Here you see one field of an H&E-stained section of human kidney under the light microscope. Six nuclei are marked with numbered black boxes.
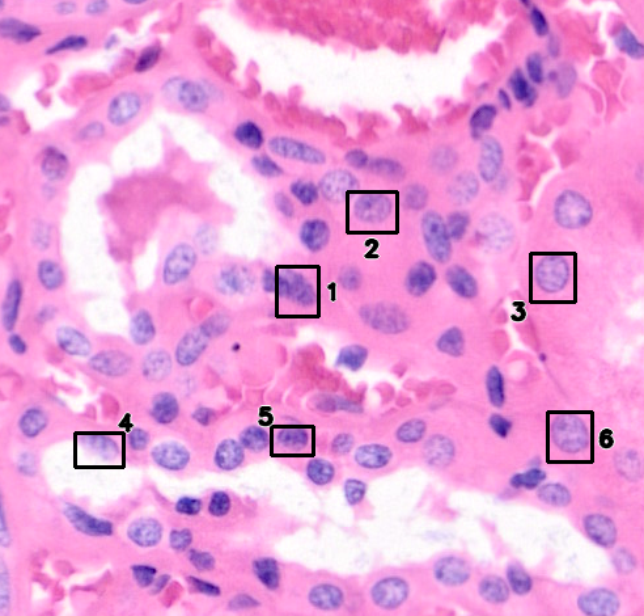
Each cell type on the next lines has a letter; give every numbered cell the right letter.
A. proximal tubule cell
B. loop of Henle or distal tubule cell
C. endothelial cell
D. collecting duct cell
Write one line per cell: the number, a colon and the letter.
1: D
2: D
3: A
4: D
5: D
6: A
